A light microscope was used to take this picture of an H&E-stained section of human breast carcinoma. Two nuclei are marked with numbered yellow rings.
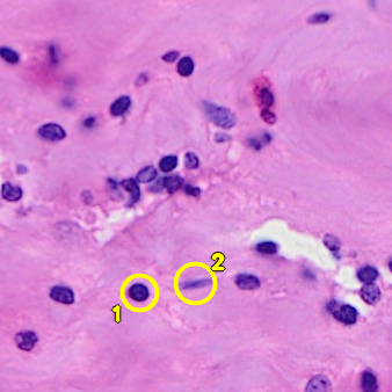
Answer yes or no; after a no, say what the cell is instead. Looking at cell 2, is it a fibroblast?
Yes.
